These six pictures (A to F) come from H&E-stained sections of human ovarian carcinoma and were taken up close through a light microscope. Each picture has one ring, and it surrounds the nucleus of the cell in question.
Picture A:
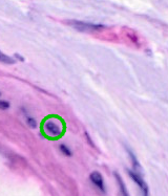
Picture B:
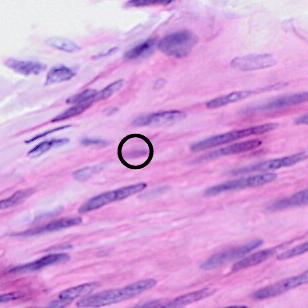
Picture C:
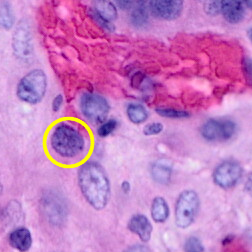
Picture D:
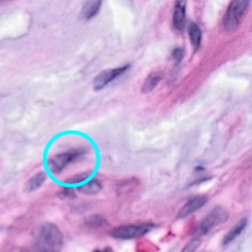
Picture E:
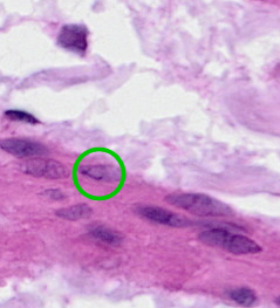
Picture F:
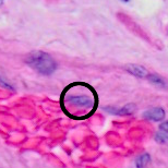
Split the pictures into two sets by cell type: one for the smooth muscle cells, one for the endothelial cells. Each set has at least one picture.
A: smooth muscle cell
B: smooth muscle cell
C: endothelial cell
D: endothelial cell
E: smooth muscle cell
F: endothelial cell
